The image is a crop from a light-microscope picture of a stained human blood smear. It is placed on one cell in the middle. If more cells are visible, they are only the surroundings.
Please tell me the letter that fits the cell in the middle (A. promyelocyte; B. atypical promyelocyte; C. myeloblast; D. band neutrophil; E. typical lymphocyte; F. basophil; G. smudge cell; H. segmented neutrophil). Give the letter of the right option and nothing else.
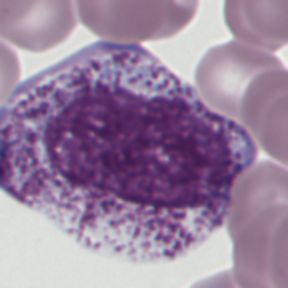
A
